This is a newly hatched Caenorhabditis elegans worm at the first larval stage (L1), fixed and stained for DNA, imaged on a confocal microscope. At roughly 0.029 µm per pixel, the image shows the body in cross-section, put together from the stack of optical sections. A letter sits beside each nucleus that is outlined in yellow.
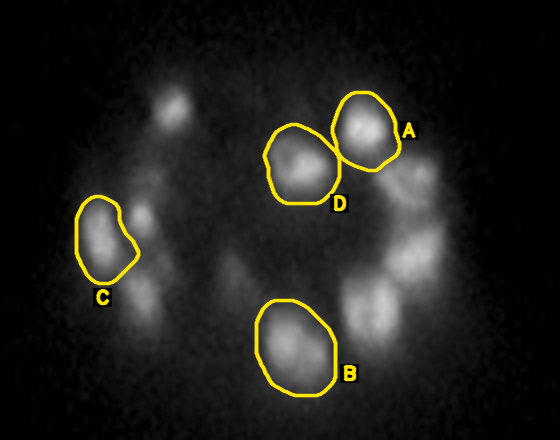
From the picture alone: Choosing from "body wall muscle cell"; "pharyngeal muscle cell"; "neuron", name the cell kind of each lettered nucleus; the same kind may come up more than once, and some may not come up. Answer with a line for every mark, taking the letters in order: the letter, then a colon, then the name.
A: neuron
B: neuron
C: body wall muscle cell
D: pharyngeal muscle cell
